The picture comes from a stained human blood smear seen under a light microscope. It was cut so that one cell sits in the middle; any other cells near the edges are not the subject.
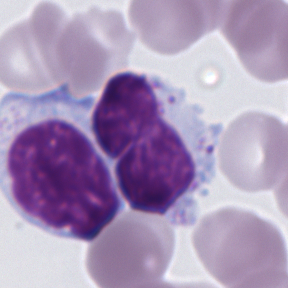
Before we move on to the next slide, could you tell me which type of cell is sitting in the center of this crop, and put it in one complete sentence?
The cell in the middle of the field of view is a large granular lymphocyte.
